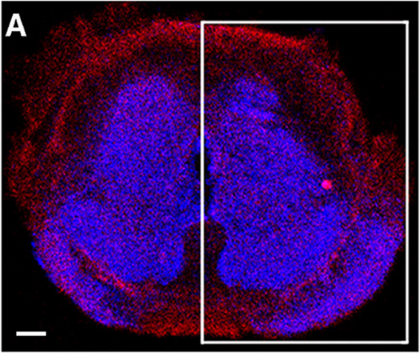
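This is a whole transverse slice of spinal cord at low magnification, with a dense blue central region shaped roughly like a butterfly and divided at the midline. A band of red labeling forms a rim around the outside of the slice and fringes its edge.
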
